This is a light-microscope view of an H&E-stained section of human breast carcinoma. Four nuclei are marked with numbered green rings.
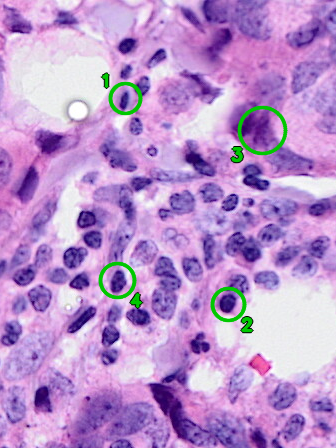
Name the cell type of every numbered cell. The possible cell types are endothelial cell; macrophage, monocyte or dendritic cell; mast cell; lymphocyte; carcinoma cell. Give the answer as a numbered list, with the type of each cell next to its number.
1. lymphocyte
2. lymphocyte
3. carcinoma cell
4. lymphocyte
